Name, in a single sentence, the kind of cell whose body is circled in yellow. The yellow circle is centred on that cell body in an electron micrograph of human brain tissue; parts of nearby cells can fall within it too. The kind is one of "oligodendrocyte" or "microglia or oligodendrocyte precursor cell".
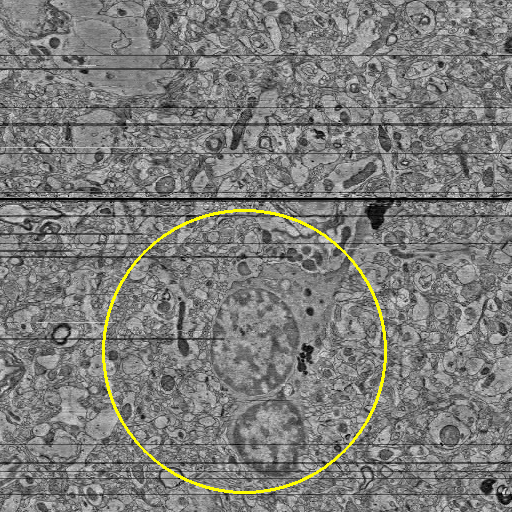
The circled cell body belongs to an oligodendrocyte.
